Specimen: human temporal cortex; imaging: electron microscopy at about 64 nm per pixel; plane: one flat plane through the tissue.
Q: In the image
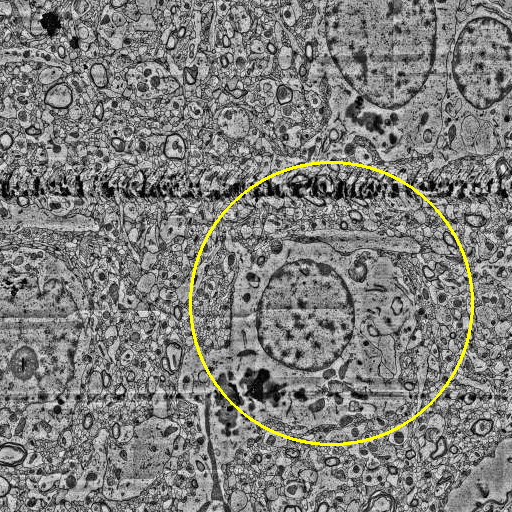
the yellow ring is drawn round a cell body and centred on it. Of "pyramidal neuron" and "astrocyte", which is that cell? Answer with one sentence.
The cell centred in the ring is an astrocyte.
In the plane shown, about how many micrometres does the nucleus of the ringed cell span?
About 7 micrometers across, in this plane.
